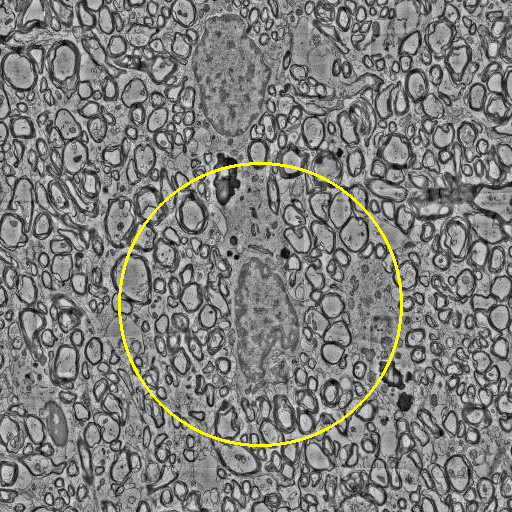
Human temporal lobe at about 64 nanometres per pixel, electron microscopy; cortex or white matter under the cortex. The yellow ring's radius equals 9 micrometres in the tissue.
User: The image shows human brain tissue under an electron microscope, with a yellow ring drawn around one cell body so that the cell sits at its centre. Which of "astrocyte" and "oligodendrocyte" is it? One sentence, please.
At the centre of the ring sits an oligodendrocyte.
